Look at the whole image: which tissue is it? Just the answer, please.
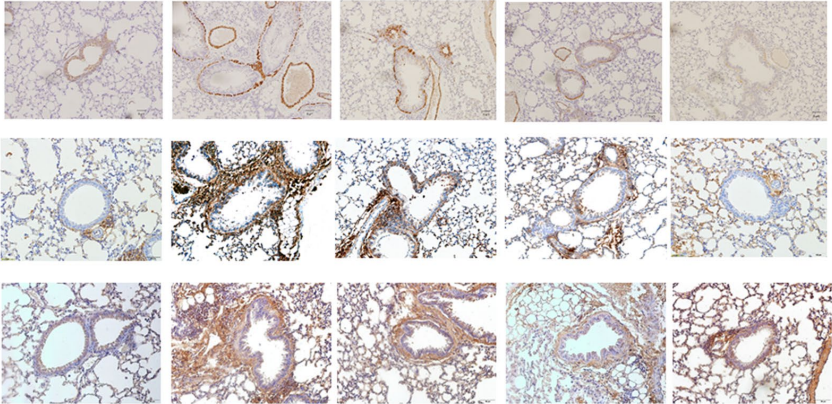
lung tissues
